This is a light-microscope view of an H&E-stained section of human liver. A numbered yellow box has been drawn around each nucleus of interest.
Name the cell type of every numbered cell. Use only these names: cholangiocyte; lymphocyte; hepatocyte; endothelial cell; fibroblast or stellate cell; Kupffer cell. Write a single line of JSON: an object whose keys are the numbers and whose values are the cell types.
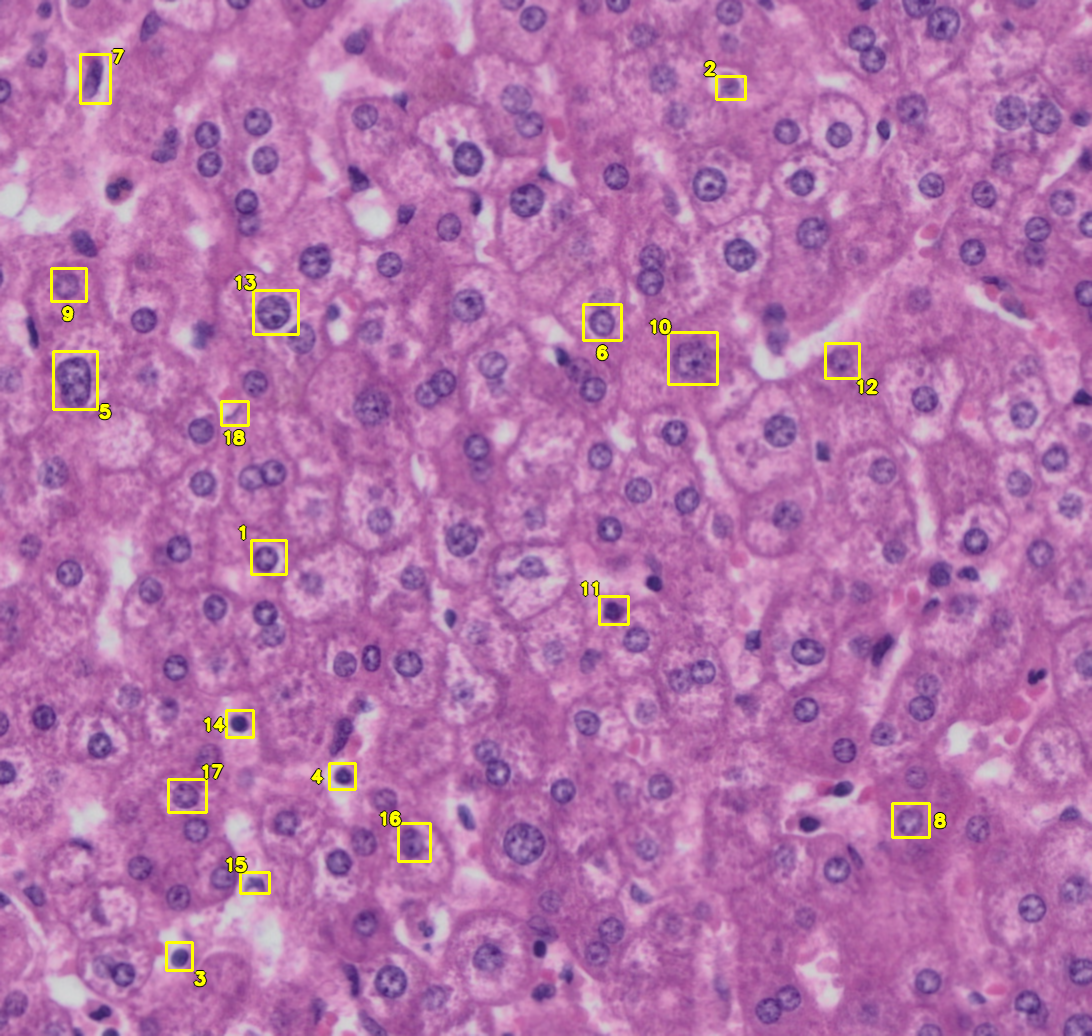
{"1": "hepatocyte", "2": "Kupffer cell", "3": "lymphocyte", "4": "lymphocyte", "5": "hepatocyte", "6": "hepatocyte", "7": "Kupffer cell", "8": "hepatocyte", "9": "hepatocyte", "10": "hepatocyte", "11": "fibroblast or stellate cell", "12": "hepatocyte", "13": "hepatocyte", "14": "lymphocyte", "15": "endothelial cell", "16": "hepatocyte", "17": "hepatocyte", "18": "endothelial cell"}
